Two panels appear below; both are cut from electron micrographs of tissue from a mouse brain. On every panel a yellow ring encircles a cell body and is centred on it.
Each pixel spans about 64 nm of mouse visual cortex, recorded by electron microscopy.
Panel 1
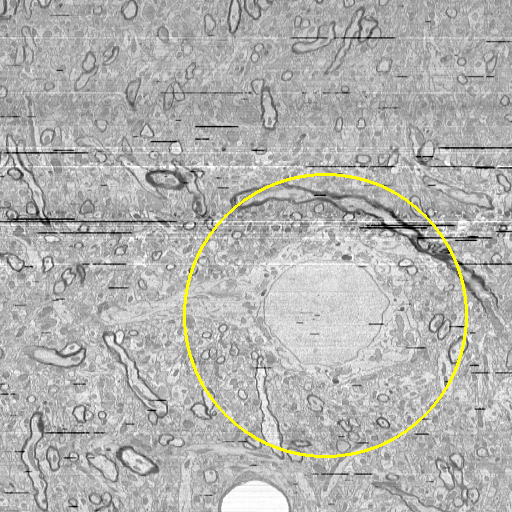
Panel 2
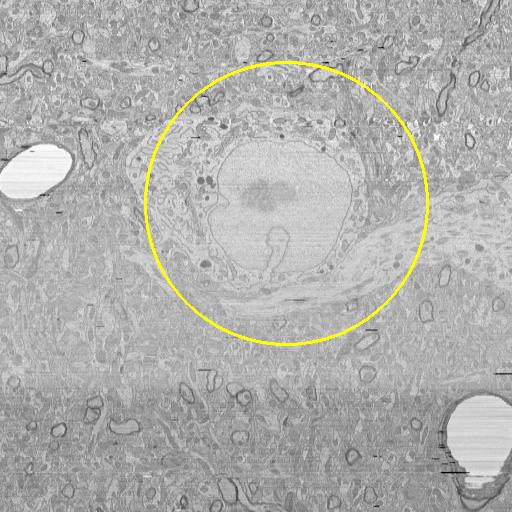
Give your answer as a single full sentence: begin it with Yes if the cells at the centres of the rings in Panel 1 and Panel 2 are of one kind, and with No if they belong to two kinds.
No, the cells in the middle of the rings in Panels 1 and 2 are of two kinds.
